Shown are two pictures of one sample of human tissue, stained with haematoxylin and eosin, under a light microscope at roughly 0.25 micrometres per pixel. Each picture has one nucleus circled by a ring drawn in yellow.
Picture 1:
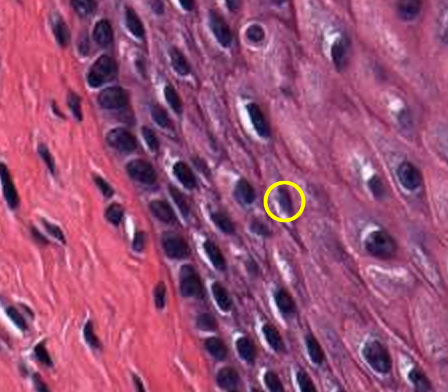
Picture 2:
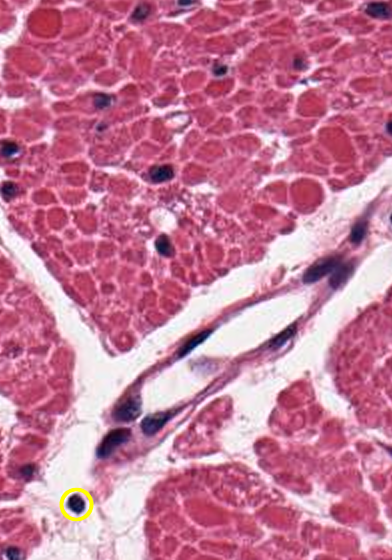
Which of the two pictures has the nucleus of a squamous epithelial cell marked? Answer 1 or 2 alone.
1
